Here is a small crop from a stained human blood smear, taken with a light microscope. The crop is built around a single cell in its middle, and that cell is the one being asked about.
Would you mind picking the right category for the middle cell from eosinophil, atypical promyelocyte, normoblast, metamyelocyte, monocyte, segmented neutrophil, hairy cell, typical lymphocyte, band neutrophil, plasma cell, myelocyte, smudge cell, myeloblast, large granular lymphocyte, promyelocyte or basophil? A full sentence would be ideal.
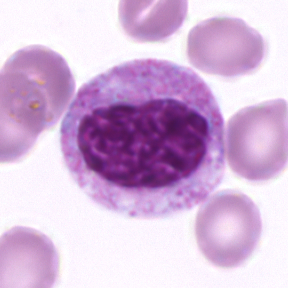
In the middle of this smear crop is a metamyelocyte.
